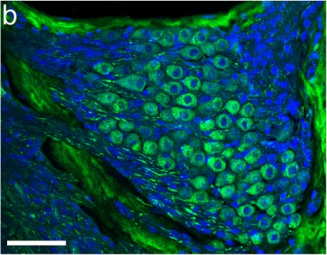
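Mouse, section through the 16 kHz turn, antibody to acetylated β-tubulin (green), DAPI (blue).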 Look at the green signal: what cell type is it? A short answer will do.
Neurons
